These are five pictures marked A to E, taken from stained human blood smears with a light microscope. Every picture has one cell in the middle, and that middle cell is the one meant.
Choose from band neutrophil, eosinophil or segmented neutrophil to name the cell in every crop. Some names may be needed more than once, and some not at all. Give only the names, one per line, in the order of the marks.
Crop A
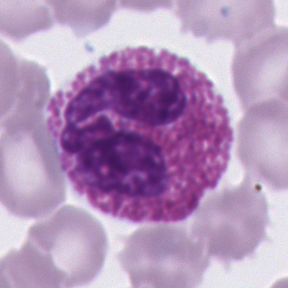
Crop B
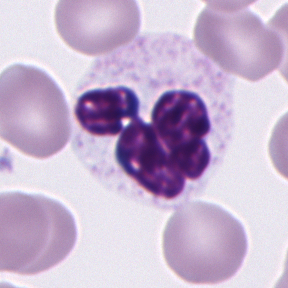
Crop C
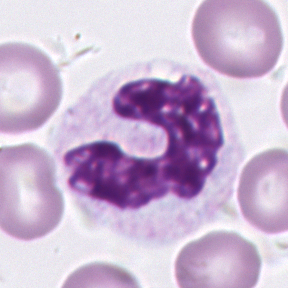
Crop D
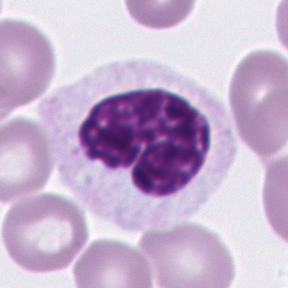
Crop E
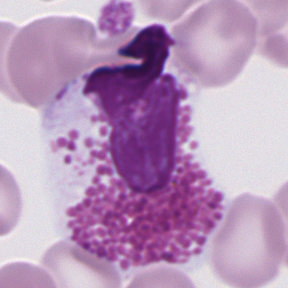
eosinophil
segmented neutrophil
band neutrophil
band neutrophil
eosinophil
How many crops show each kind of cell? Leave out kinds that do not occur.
eosinophil: 2
band neutrophil: 2
segmented neutrophil: 1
